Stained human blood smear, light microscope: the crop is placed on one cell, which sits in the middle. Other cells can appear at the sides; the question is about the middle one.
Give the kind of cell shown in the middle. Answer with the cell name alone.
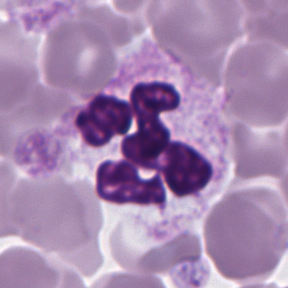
segmented neutrophil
